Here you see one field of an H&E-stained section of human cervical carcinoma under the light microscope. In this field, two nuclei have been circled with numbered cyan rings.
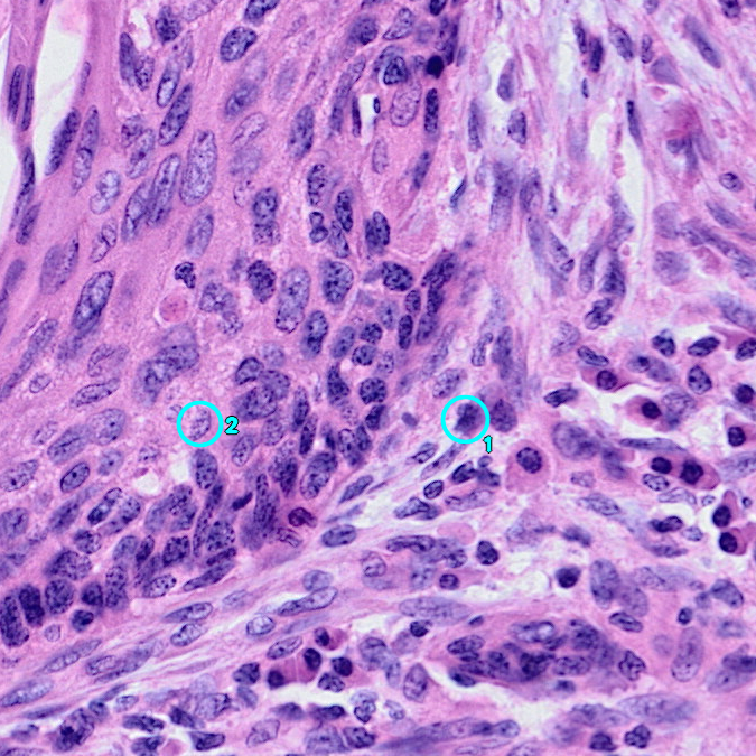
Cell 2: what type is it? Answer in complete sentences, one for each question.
Corresponding to a squamous carcinoma cell is the cell labelled 2.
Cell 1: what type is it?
The cell referenced by the number 1 is a lymphocyte in this field.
